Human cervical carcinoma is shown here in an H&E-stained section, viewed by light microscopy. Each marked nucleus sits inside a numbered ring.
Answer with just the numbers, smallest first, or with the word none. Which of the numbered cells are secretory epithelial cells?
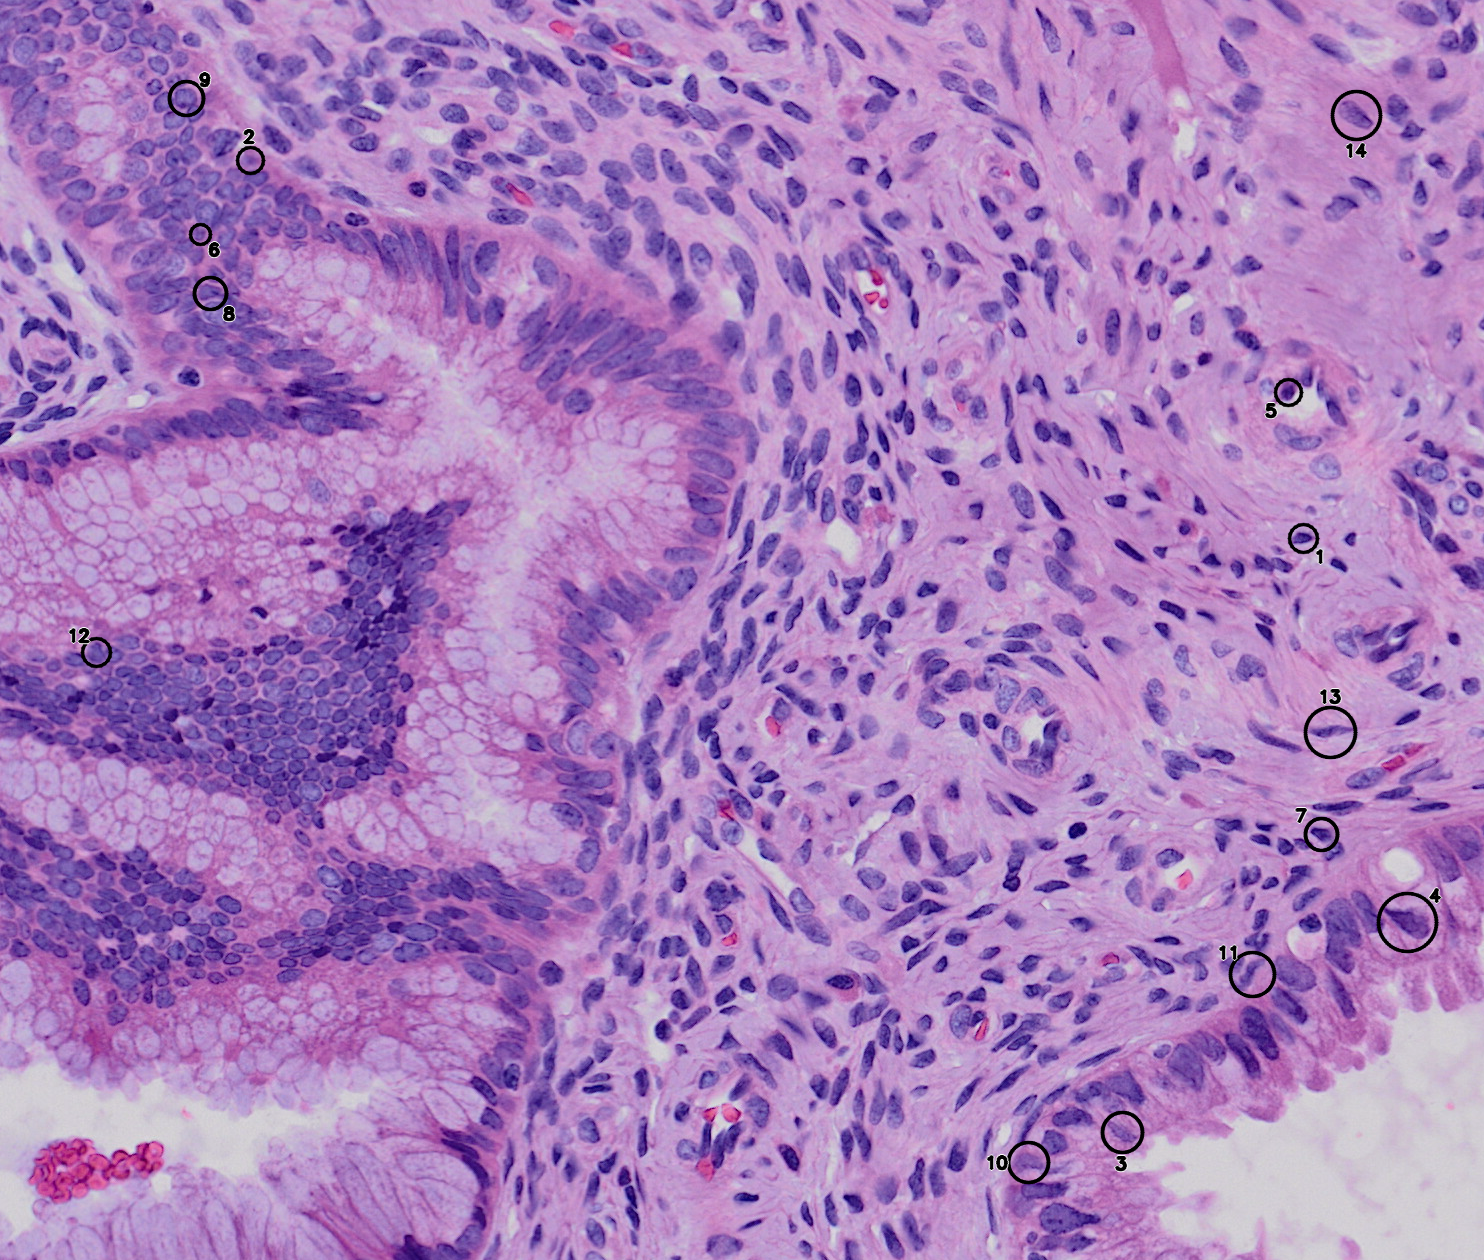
2, 3, 4, 6, 8, 9, 10, 12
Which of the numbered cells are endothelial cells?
5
